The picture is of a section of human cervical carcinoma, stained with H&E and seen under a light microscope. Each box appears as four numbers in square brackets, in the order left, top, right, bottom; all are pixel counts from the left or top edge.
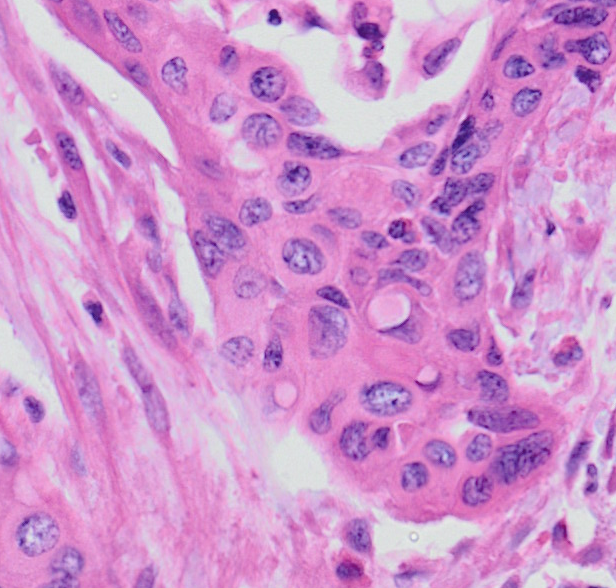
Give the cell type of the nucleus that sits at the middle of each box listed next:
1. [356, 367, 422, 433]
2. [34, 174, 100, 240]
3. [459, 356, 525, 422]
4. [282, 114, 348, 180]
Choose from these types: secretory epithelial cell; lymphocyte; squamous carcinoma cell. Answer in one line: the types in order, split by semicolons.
squamous carcinoma cell; lymphocyte; squamous carcinoma cell; squamous carcinoma cell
